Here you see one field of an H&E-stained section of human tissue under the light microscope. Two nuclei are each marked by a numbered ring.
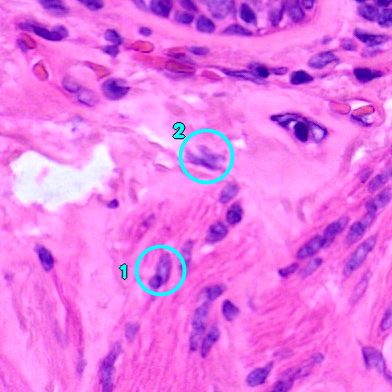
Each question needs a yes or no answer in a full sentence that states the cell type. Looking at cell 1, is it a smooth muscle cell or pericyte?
Yes, for number 1, the cell is a smooth muscle cell or pericyte.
